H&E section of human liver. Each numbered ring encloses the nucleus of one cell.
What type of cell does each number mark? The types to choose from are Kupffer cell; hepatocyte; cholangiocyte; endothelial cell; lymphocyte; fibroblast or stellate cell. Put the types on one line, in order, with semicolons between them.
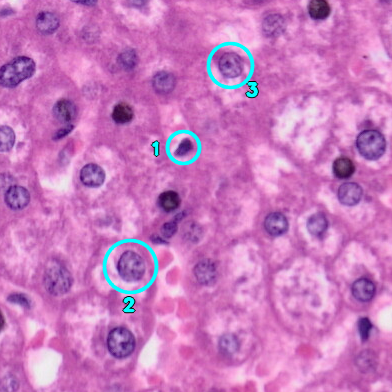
lymphocyte; hepatocyte; hepatocyte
